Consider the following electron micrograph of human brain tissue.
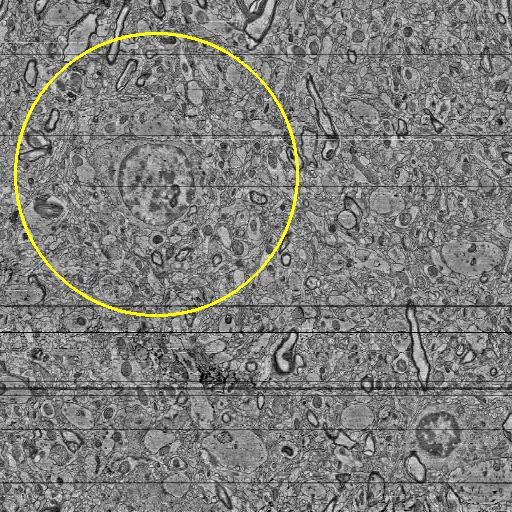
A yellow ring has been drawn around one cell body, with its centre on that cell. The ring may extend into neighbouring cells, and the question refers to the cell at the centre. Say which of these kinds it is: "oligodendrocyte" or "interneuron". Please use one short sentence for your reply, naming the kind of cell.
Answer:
The centre of the ring falls on an oligodendrocyte.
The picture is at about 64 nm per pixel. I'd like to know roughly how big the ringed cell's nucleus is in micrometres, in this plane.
The ringed cell's nucleus is about 6 micrometres long and 5 micrometres wide in this plane.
